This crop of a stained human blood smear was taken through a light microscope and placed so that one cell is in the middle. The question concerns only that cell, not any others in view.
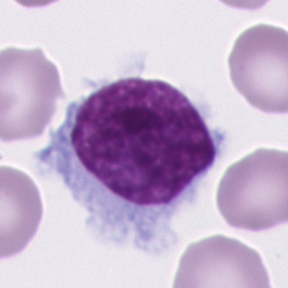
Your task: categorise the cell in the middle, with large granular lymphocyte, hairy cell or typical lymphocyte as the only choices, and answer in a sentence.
Among the cells in view, the one in the middle is a hairy cell.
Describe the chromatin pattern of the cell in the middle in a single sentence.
The chromatin here is fine and lacks any coarse clumps.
